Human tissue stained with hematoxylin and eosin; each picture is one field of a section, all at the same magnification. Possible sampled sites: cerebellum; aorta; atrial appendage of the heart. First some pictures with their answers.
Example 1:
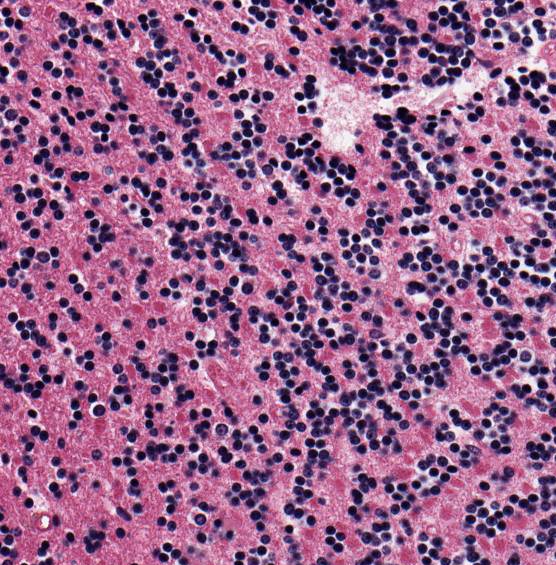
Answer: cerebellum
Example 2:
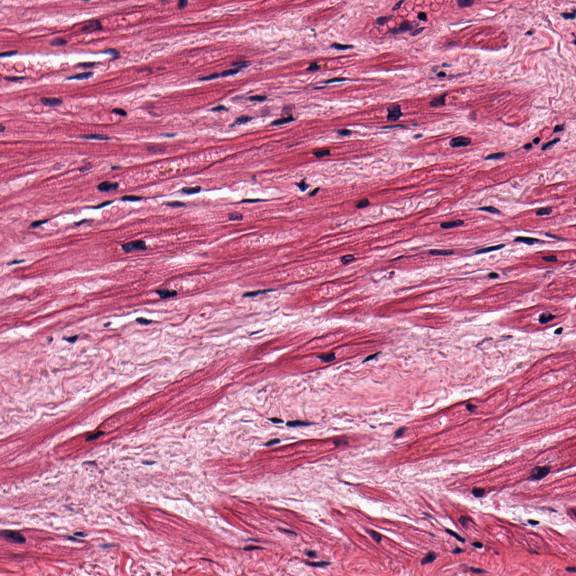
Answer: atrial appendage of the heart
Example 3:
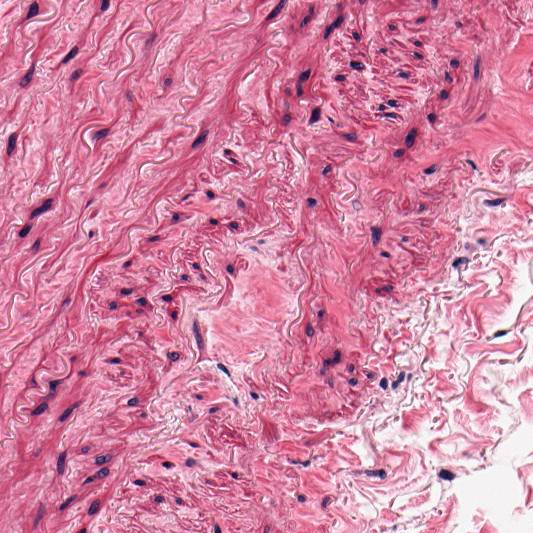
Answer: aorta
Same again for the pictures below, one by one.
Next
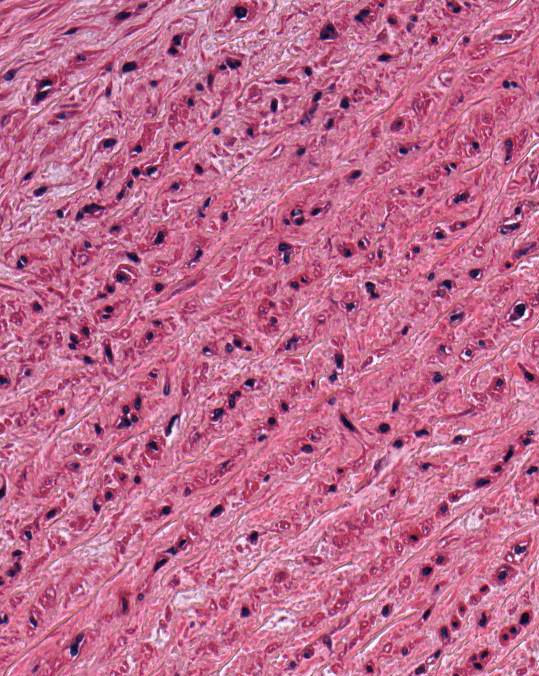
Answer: aorta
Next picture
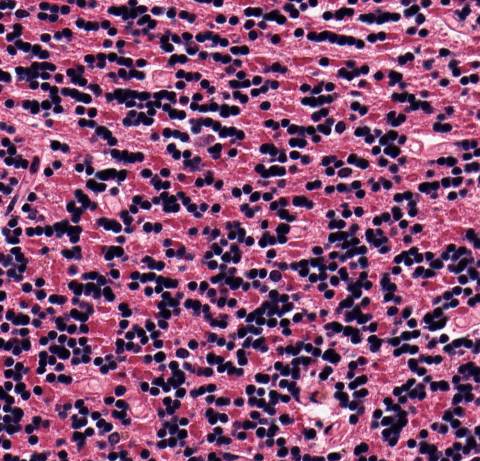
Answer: cerebellum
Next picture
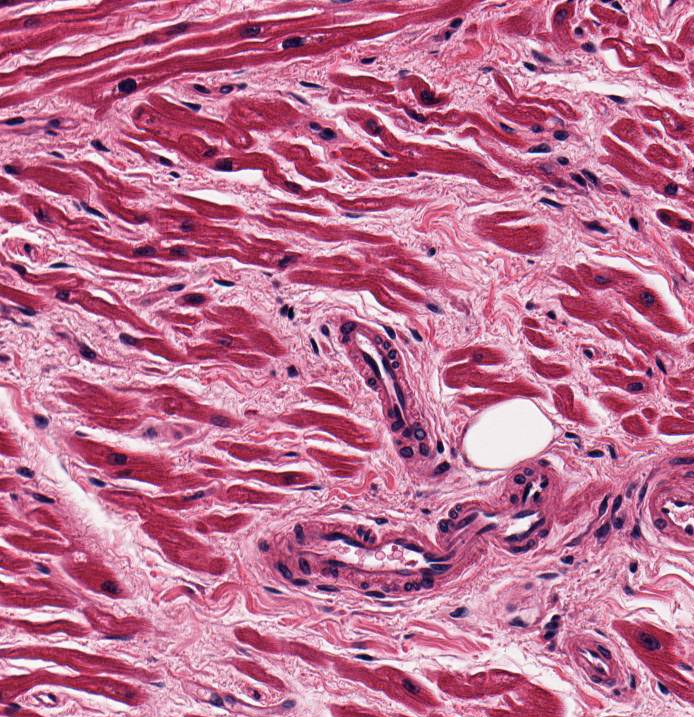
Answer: atrial appendage of the heart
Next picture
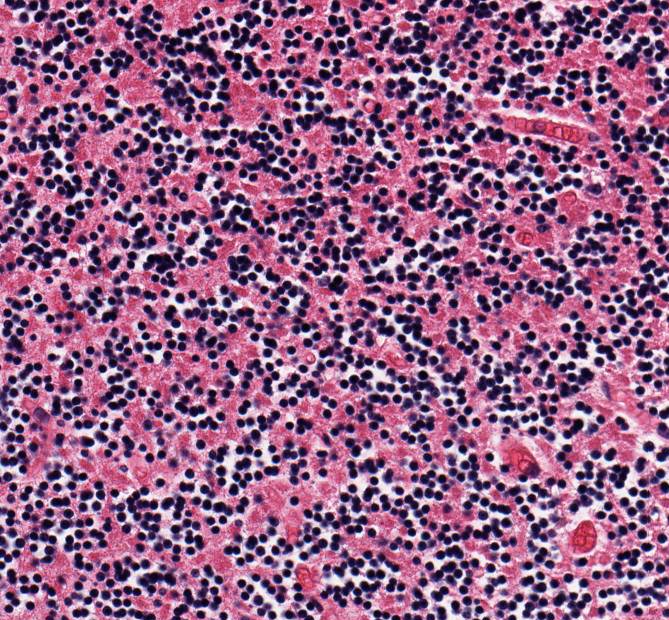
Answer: cerebellum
